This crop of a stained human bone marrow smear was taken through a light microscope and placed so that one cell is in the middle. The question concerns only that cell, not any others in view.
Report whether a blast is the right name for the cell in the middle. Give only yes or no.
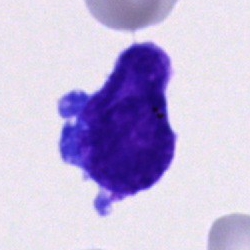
yes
